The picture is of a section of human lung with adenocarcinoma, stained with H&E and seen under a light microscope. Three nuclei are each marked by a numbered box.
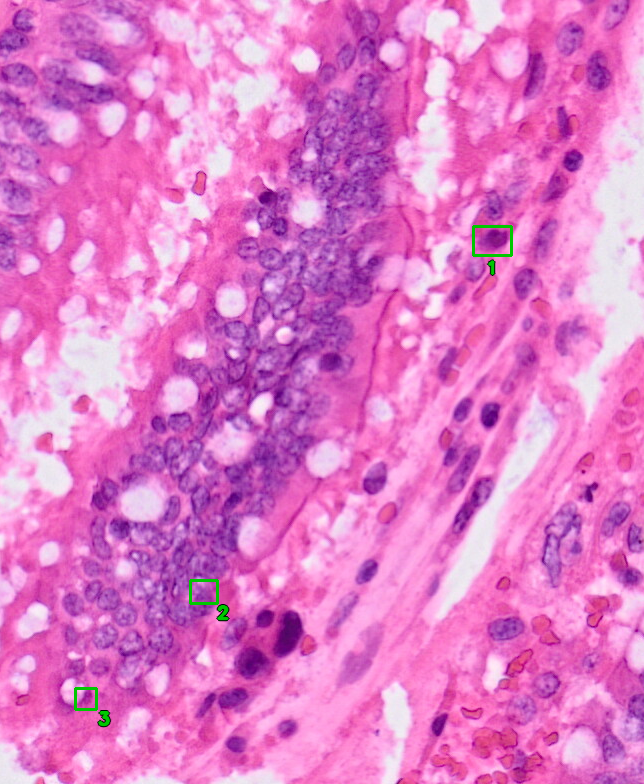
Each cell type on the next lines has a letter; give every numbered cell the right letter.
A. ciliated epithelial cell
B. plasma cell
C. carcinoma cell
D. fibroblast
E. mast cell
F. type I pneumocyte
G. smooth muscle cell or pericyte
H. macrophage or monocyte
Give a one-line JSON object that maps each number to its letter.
{"1": "H", "2": "A", "3": "A"}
